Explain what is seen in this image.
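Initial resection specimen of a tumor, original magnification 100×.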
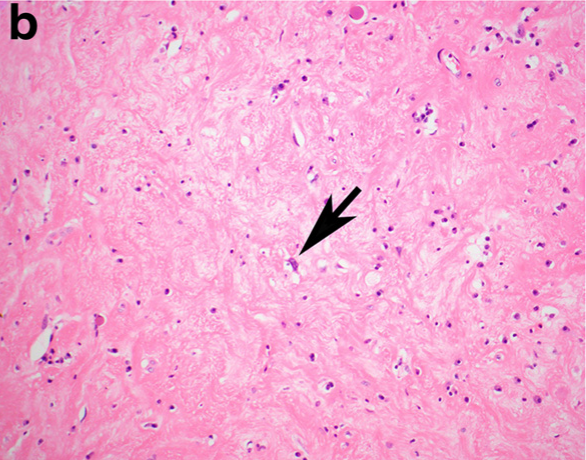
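Fibrotic tissue made largely of pale pink fibrillary collagen with sparse scattered cells, including small round inflammatory cells and occasional larger cells surrounded by clear spaces. Small thin-walled vessels run through the stroma.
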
